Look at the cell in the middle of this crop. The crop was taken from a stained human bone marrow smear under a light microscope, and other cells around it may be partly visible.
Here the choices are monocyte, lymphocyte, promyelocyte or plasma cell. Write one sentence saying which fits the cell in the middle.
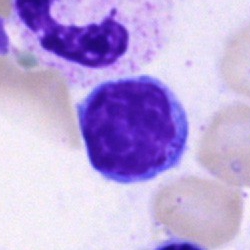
Present in the middle of the crop is a lymphocyte.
